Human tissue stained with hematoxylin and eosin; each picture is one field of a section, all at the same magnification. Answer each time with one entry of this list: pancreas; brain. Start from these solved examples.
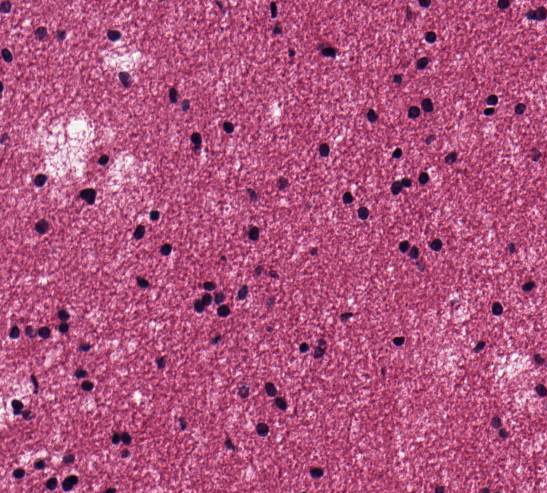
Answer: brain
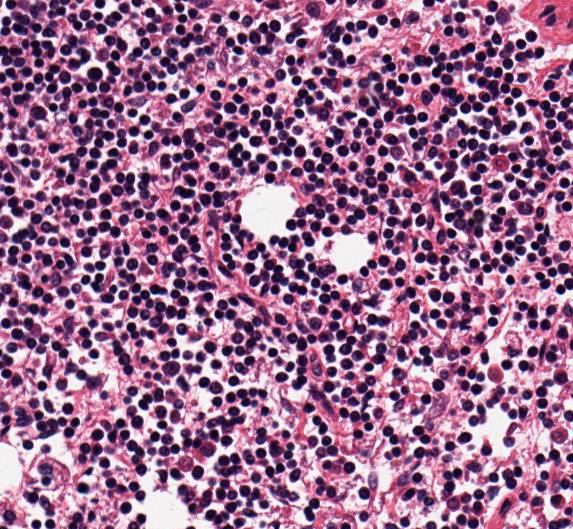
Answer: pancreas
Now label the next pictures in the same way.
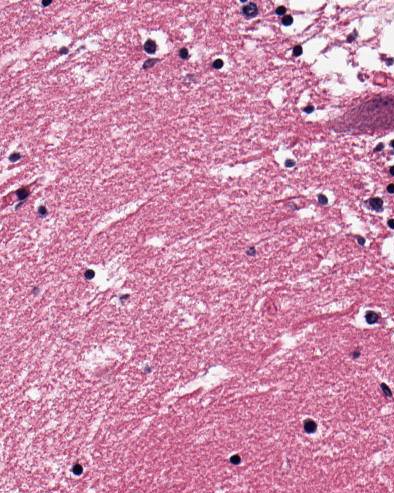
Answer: brain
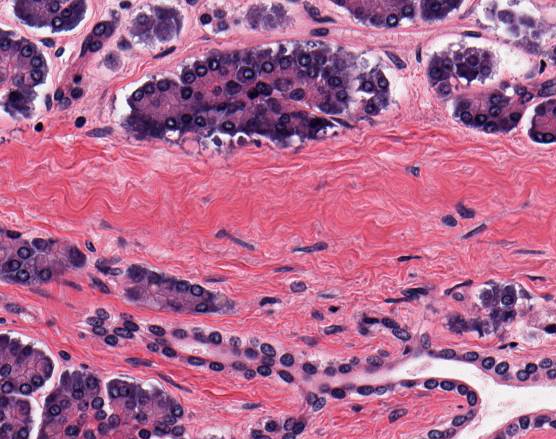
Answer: pancreas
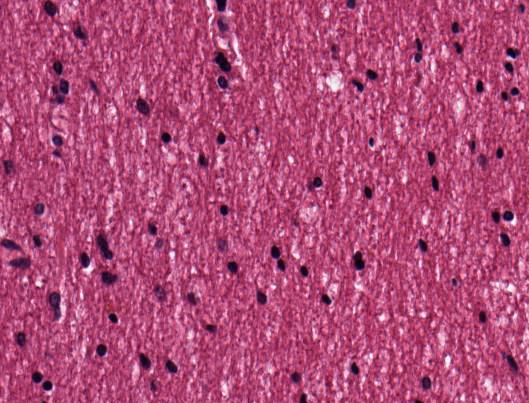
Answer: brain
